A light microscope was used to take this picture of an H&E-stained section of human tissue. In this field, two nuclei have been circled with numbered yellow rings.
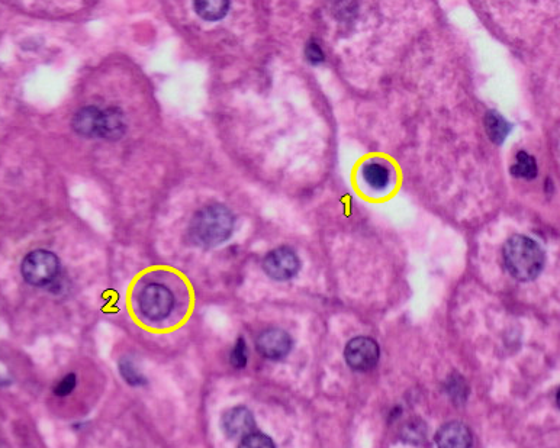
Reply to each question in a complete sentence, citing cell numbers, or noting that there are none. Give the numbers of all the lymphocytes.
Of the numbered cells, only cell 1 is a lymphocyte.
